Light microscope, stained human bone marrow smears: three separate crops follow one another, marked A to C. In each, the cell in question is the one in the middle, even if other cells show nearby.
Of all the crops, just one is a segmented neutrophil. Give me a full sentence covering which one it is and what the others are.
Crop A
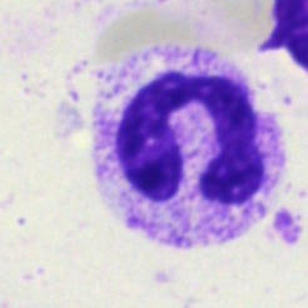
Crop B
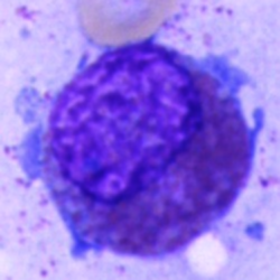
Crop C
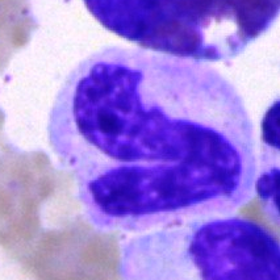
In the crop designated A, the cell is a segmented neutrophil, while crop B is an eosinophil and crop C is a band neutrophil.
